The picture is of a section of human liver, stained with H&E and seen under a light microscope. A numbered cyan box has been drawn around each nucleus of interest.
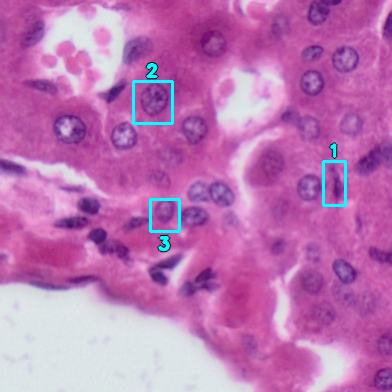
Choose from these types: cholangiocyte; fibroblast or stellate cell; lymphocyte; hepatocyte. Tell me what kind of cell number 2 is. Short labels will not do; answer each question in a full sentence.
The one numbered 2 among the marked cells is a hepatocyte.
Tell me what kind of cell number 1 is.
Corresponding to a fibroblast or stellate cell is the cell labelled 1.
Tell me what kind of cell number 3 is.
The marked nucleus 3 is that of a cholangiocyte.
